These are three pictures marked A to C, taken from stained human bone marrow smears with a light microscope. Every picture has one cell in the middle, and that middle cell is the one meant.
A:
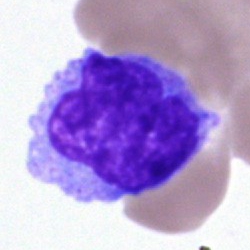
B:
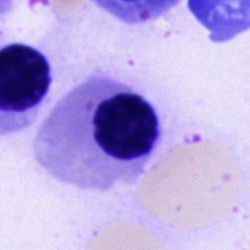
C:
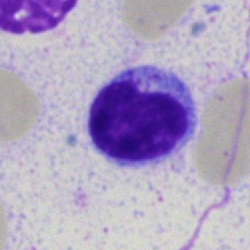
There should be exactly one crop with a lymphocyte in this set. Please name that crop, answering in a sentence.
Only in crop C is a lymphocyte shown.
